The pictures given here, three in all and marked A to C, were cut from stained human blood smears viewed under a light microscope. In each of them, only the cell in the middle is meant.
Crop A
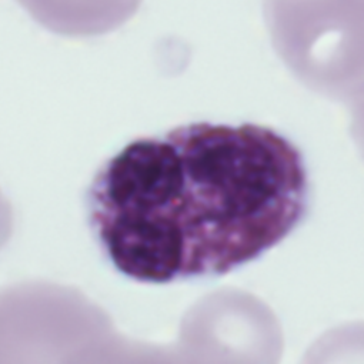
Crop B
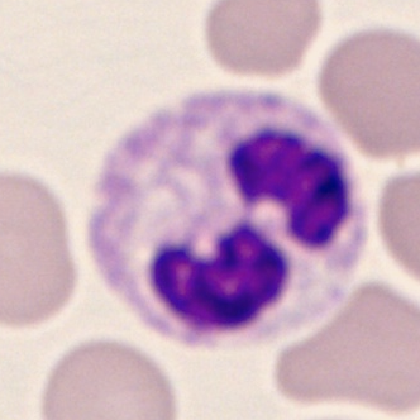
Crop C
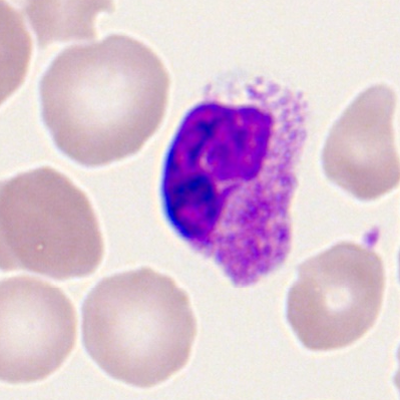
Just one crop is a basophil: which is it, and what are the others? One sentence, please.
The labels are: crop C is a basophil, and crop A is an eosinophil and crop B is a segmented neutrophil.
